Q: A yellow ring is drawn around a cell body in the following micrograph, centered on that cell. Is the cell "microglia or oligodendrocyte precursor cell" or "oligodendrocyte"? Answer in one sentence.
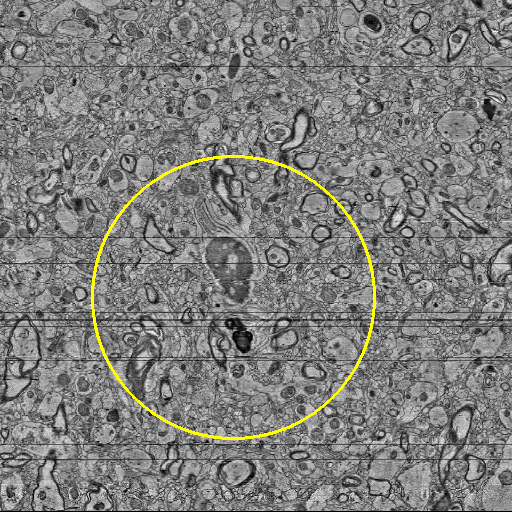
The cell in the center of the ring is a microglial cell or oligodendrocyte precursor cell.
